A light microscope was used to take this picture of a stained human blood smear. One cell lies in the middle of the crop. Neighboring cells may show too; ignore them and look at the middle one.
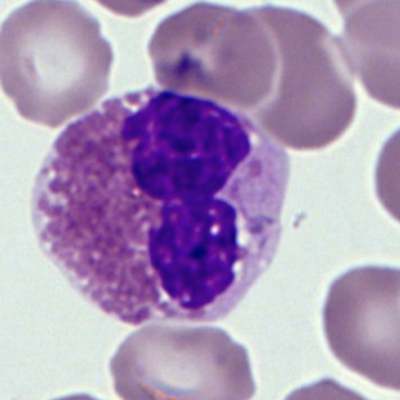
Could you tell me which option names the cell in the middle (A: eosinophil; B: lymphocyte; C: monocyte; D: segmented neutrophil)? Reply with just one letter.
A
